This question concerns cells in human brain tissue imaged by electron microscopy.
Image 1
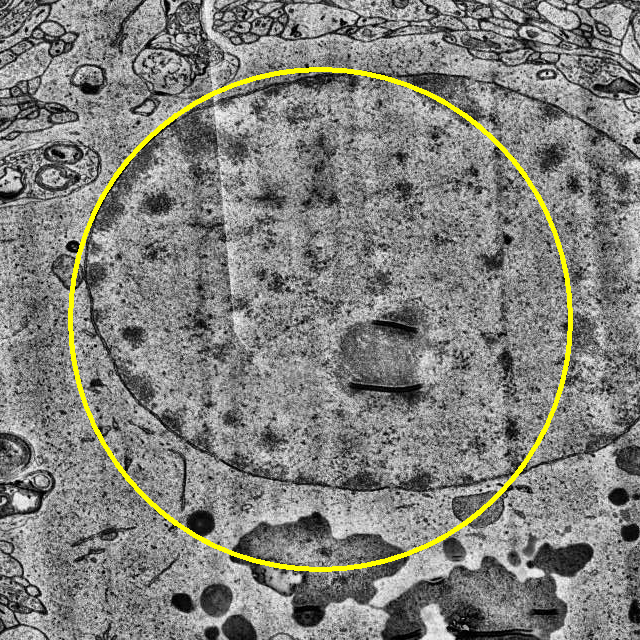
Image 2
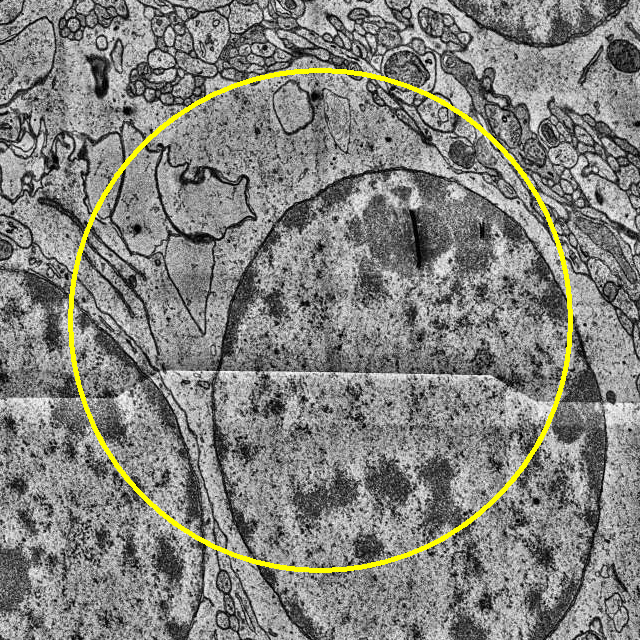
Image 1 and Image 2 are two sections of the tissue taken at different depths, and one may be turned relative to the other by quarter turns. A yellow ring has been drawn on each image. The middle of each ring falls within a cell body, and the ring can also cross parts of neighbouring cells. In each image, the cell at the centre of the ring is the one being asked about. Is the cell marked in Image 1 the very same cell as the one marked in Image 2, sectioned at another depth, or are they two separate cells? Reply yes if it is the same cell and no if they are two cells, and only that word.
no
